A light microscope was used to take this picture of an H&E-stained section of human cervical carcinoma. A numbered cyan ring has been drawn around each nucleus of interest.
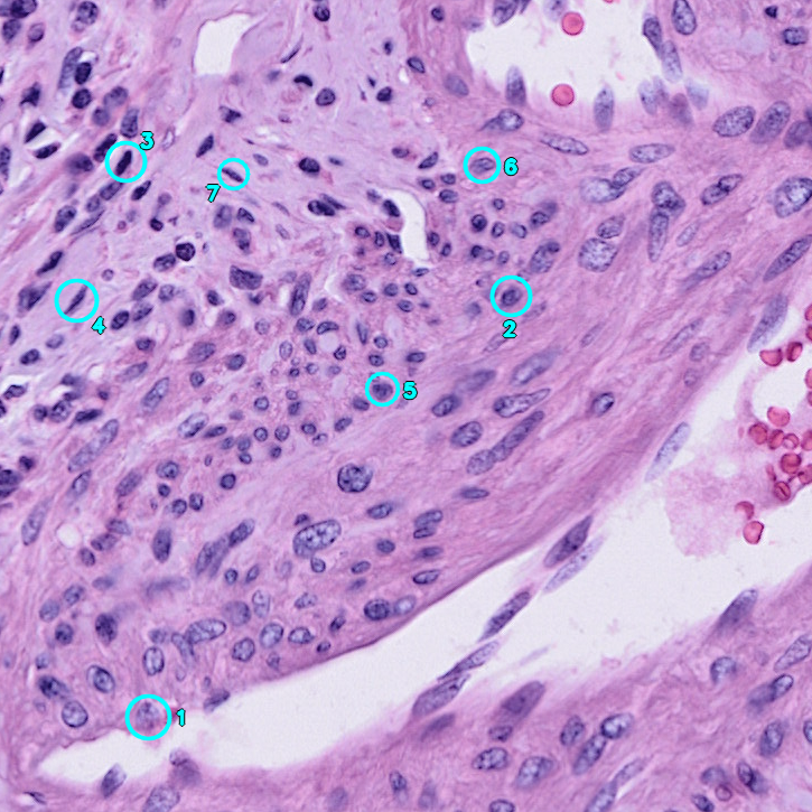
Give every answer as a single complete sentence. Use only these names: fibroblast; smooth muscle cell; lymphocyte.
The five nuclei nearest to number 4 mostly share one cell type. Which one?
Most of the five nuclei nearest to number 4 are those of lymphocytes.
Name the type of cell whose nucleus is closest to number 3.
The nearest nucleus to number 3 belongs to a lymphocyte.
